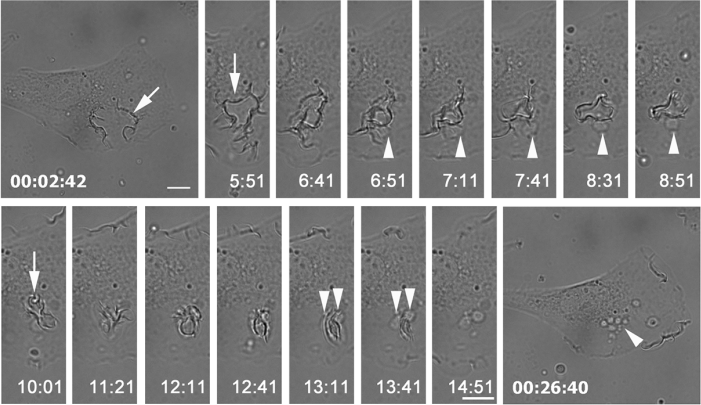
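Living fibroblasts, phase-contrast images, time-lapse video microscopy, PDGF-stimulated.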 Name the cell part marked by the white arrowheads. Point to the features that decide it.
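The arrowheads point to round, bright-rimmed vesicles inside the cell. The vesicles lie next to the curled surface folds. So: macropinosomes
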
